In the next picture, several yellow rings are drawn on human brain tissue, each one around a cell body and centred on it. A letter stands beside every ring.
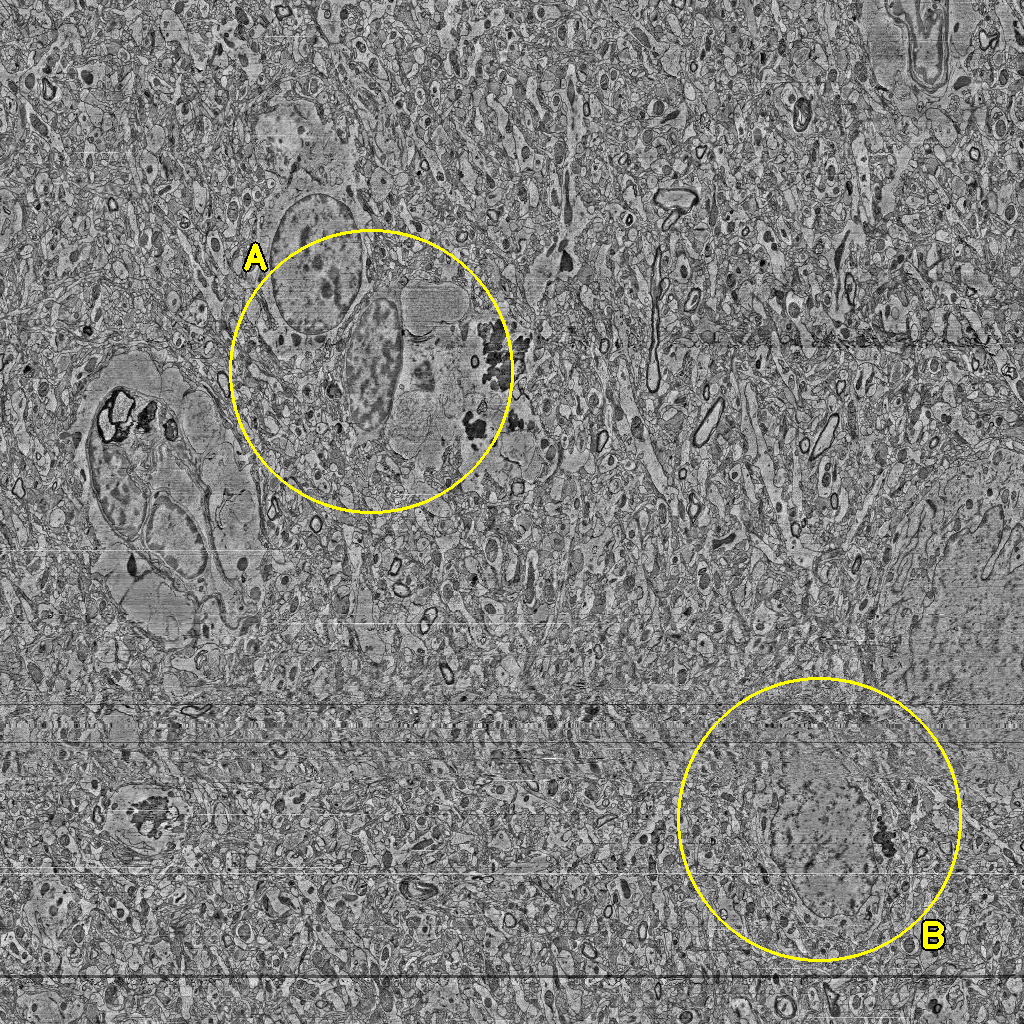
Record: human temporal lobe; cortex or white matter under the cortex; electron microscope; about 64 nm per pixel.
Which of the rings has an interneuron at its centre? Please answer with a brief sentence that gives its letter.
Ring B has it at its centre.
